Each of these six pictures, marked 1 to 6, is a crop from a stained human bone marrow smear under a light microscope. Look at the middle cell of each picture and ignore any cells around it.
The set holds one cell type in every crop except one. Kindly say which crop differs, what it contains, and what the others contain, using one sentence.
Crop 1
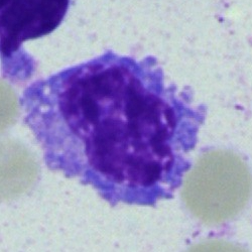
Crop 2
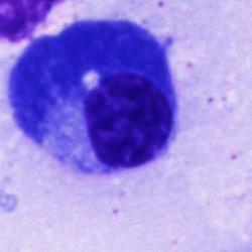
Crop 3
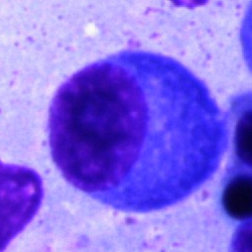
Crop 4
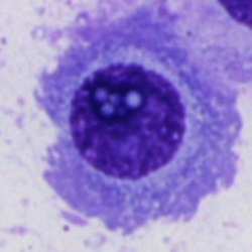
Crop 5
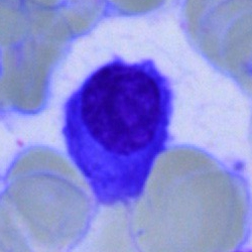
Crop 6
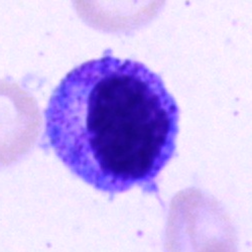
The exception in this group is crop 6, a myelocyte, and the others are all plasma cells.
